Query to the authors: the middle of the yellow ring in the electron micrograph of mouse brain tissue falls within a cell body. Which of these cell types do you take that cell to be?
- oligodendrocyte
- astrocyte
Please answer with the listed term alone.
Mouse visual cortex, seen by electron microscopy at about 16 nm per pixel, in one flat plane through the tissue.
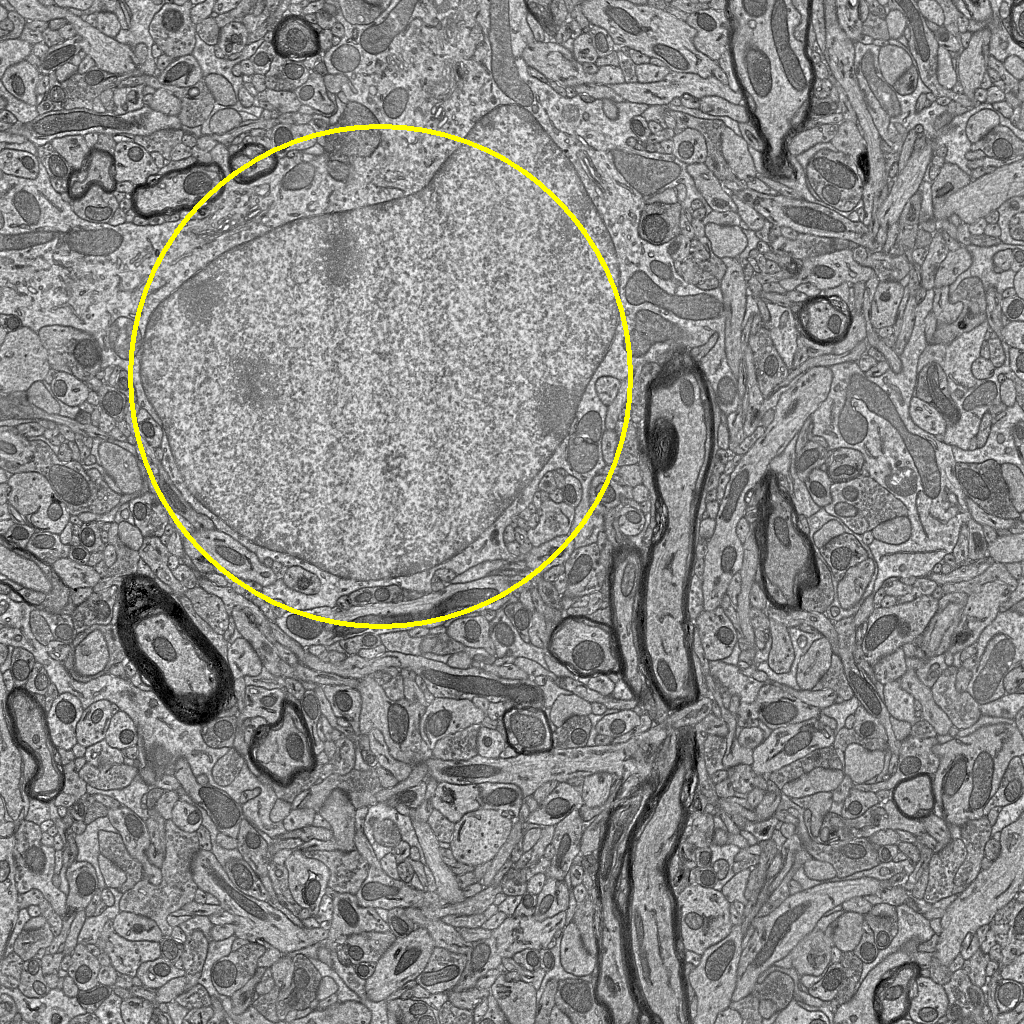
astrocyte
